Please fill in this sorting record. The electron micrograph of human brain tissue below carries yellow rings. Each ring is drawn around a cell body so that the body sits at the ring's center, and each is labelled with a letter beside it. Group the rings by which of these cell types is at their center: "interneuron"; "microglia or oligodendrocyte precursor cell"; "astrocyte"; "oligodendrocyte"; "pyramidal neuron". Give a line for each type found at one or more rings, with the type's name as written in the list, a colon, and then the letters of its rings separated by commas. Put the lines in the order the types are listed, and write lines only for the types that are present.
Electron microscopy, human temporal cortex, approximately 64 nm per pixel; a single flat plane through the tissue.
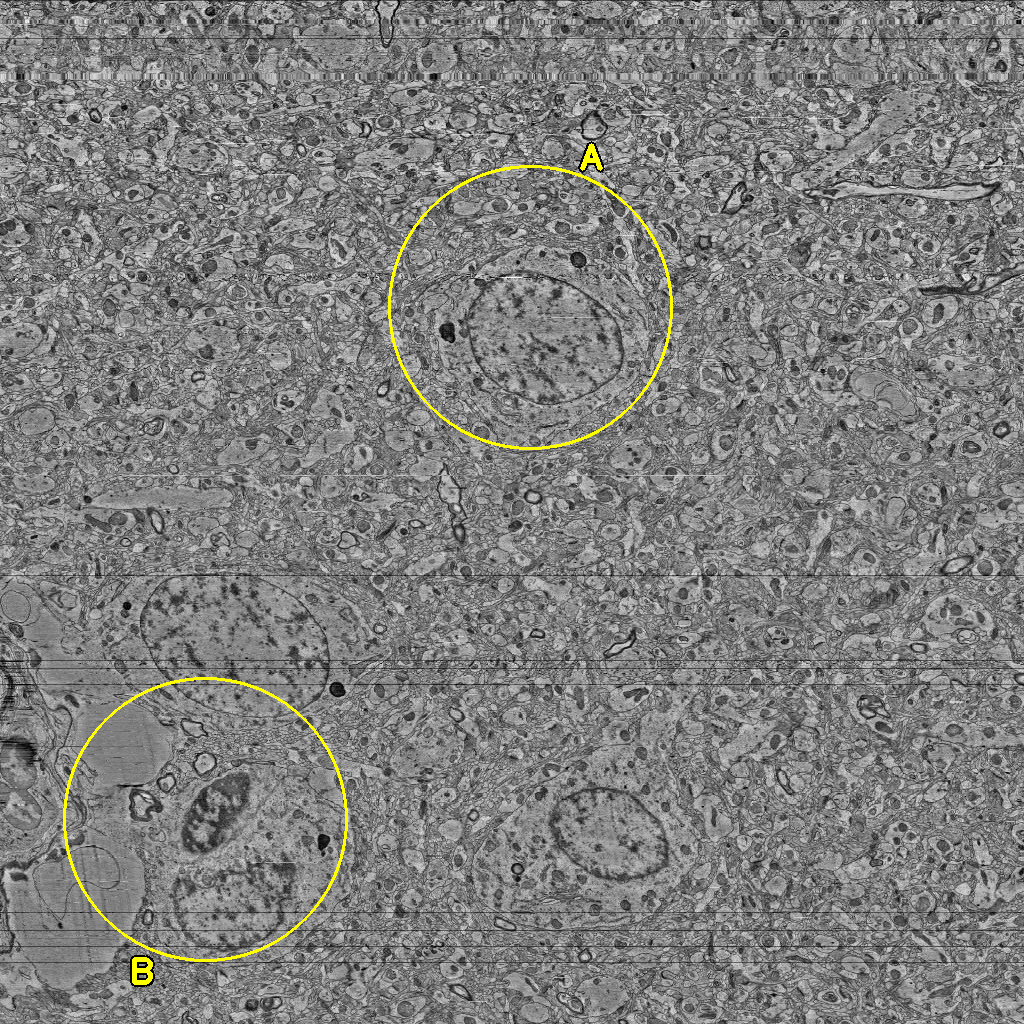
microglia or oligodendrocyte precursor cell: B
pyramidal neuron: A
